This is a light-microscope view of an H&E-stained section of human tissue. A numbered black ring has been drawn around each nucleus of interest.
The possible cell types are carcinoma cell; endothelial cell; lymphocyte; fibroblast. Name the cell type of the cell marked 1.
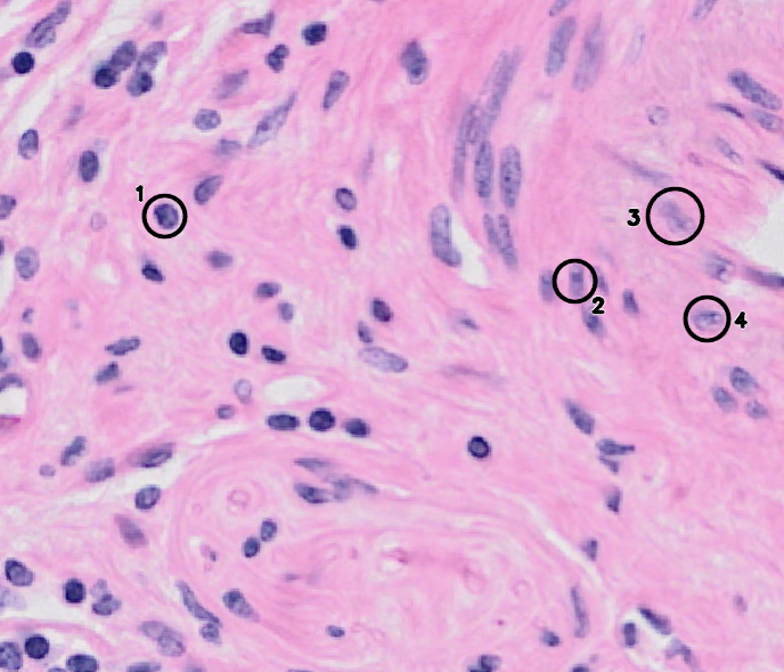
lymphocyte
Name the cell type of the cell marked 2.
endothelial cell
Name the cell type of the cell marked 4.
endothelial cell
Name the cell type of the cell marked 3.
endothelial cell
